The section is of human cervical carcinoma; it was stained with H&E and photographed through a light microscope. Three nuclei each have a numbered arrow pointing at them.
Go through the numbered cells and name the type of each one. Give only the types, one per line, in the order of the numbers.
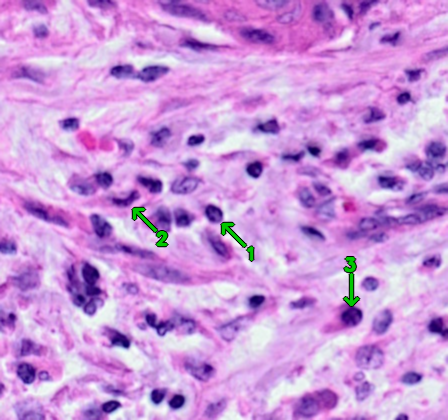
lymphocyte
macrophage or monocyte
lymphocyte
